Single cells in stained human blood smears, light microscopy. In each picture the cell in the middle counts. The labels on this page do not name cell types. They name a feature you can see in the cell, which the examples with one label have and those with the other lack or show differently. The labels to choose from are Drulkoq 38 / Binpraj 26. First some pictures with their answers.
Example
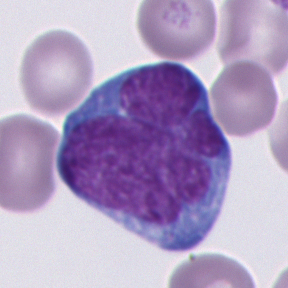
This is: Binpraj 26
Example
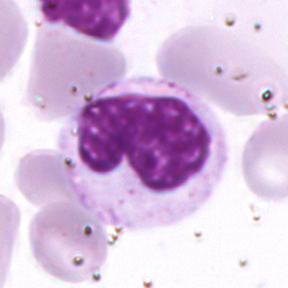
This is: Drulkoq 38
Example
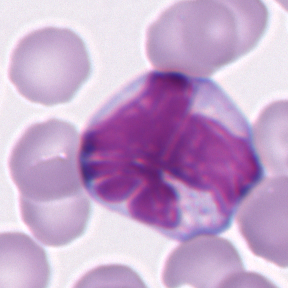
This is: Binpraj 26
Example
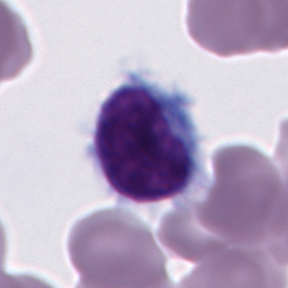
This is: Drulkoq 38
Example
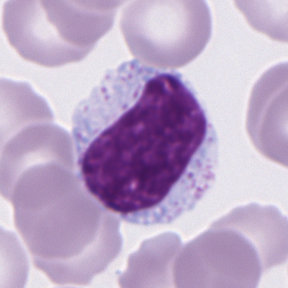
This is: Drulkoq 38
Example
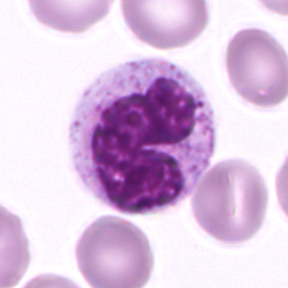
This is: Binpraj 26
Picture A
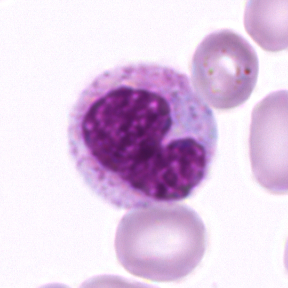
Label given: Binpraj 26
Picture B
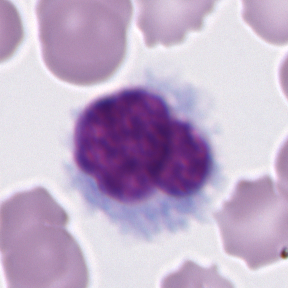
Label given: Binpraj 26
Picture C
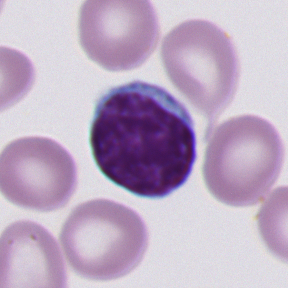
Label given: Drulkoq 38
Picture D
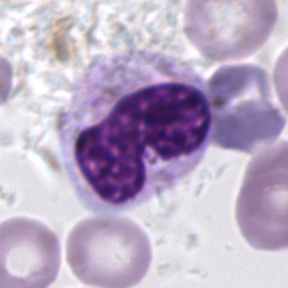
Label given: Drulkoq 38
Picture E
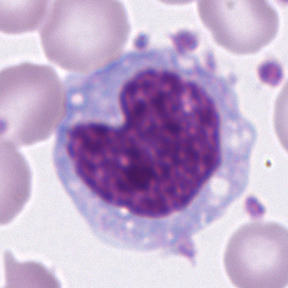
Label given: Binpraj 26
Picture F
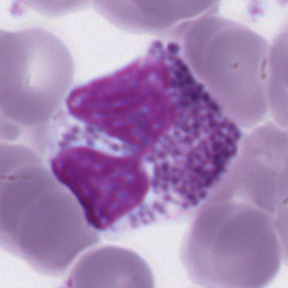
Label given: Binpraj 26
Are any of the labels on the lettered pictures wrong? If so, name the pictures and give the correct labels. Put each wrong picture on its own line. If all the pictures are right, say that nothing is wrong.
E: not Binpraj 26 but Drulkoq 38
